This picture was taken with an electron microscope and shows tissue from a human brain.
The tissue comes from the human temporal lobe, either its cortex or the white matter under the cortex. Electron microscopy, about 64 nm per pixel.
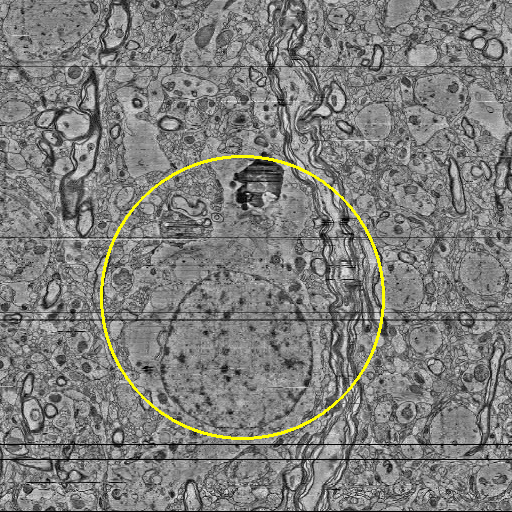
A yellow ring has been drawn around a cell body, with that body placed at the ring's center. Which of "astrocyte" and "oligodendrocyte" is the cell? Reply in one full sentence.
In this picture, an astrocyte is the cell at the center of the yellow ring.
